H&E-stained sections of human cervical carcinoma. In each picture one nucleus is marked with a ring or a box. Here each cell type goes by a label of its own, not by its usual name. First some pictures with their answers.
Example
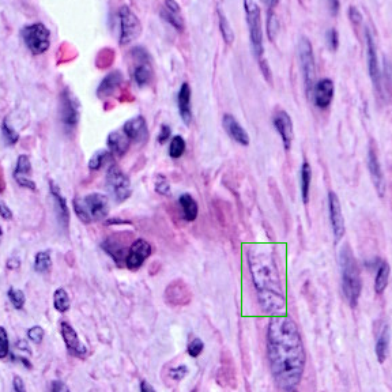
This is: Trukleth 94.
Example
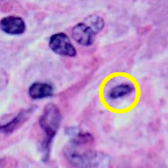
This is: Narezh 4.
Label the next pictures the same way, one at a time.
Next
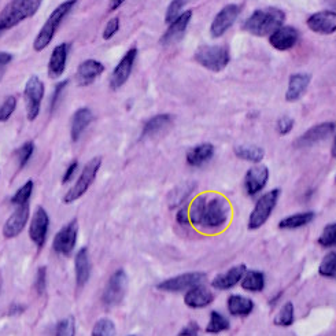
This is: Trukleth 94.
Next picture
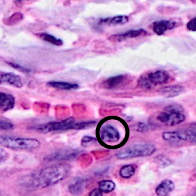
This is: Narezh 4.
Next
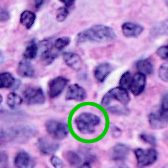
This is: Narezh 4.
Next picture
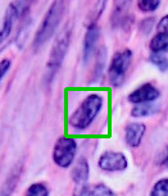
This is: Narezh 4.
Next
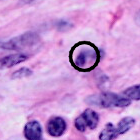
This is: Narezh 4.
